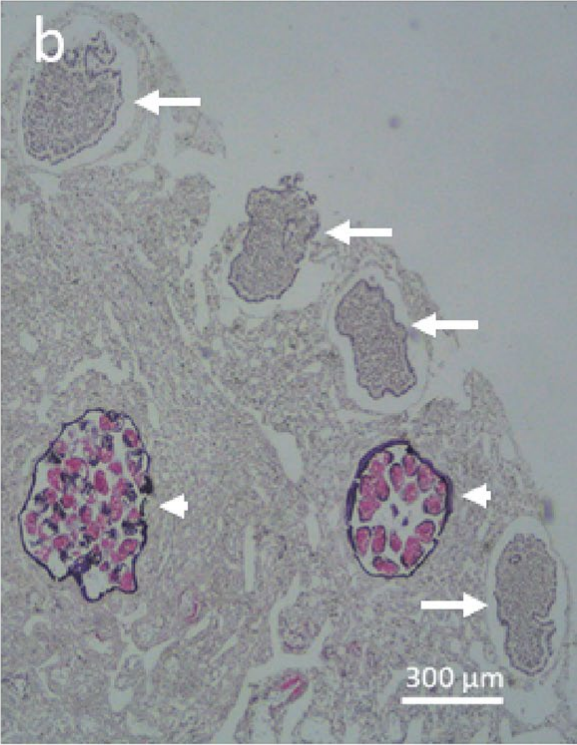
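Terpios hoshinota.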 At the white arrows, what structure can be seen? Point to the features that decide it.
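Oval masses of densely packed small cells, grey-purple in colour. Each mass lies in a clear space lined by a thin wall. The masses sit near the surface of the pale, loose tissue. So: sponge larvae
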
